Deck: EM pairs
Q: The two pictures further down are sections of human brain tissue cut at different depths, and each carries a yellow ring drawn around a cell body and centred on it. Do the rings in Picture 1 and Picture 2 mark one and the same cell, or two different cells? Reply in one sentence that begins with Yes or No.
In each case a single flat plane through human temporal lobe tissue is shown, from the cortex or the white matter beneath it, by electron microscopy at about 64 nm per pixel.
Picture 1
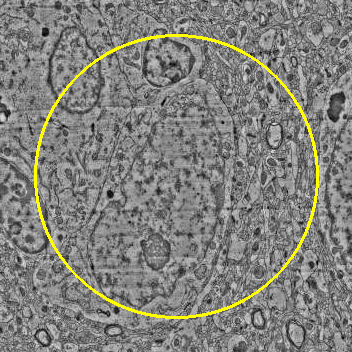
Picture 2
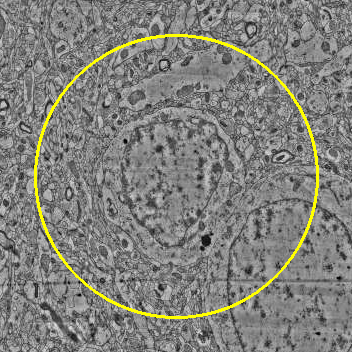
No, these yellow rings each mark a separate cell.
